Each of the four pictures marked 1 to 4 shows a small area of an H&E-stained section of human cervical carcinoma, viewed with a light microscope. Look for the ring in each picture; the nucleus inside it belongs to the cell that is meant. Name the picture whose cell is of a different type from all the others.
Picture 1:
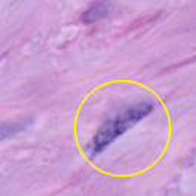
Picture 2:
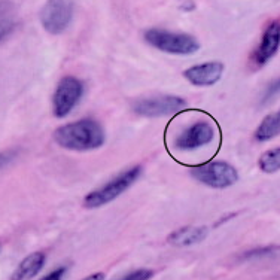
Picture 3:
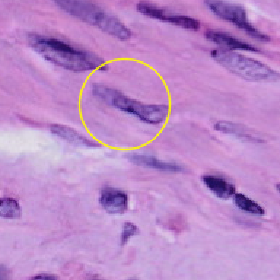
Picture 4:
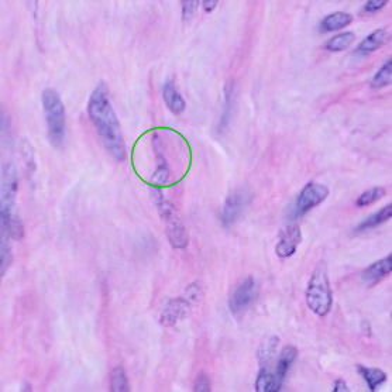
4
